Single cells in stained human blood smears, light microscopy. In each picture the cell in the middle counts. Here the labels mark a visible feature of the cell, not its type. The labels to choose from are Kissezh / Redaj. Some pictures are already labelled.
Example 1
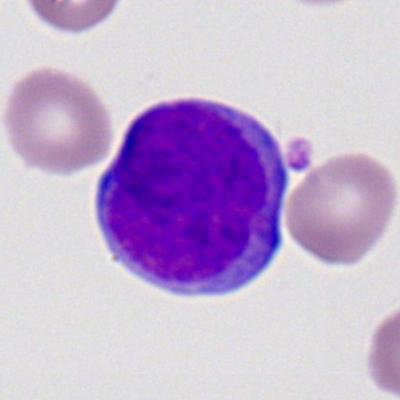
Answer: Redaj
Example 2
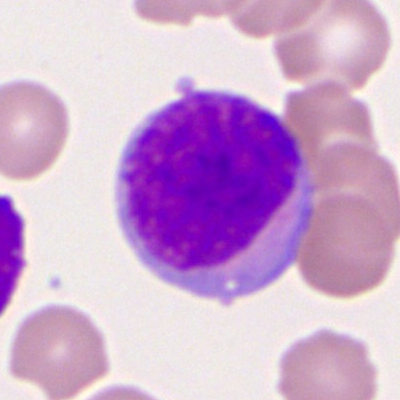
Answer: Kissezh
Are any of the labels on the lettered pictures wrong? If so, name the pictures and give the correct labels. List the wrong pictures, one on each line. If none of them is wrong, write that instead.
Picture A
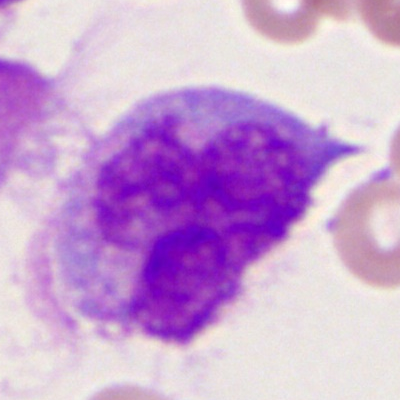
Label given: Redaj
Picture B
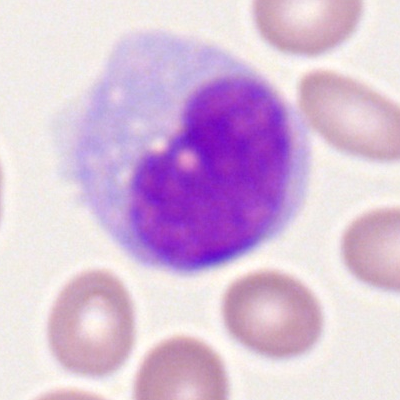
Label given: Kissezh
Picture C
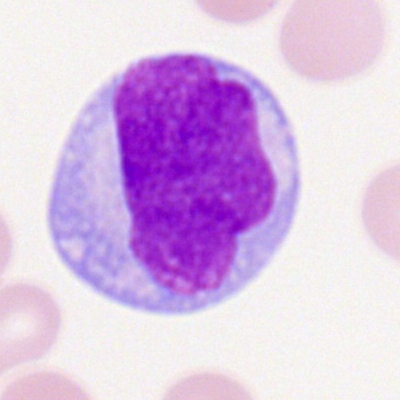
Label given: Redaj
A is labelled Redaj; correct label: Kissezh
